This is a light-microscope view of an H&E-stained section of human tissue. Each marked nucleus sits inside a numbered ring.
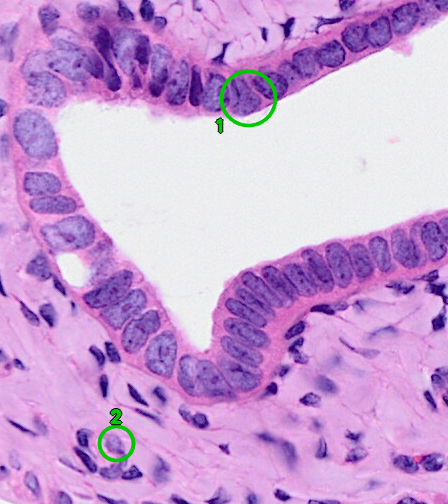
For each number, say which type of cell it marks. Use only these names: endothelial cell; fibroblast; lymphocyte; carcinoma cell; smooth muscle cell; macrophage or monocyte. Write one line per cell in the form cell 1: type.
cell 1: carcinoma cell
cell 2: endothelial cell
